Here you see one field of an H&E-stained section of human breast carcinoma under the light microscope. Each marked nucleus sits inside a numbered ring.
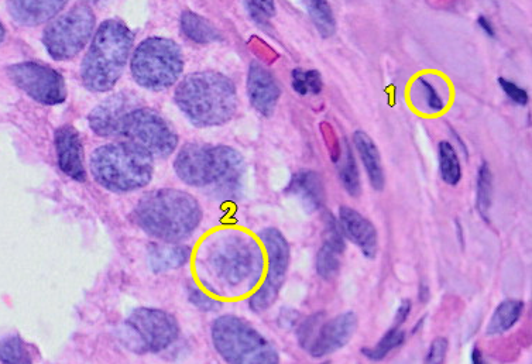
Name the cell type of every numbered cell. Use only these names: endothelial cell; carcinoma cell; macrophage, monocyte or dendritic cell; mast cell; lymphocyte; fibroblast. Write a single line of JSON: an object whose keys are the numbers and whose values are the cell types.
{"1": "fibroblast", "2": "carcinoma cell"}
